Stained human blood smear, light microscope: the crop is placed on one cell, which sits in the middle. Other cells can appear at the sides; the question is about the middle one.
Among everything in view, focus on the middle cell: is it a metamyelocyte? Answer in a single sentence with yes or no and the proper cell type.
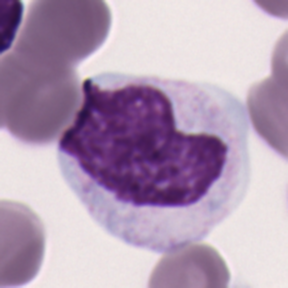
Yes, the cell in the middle has the identity of a metamyelocyte.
